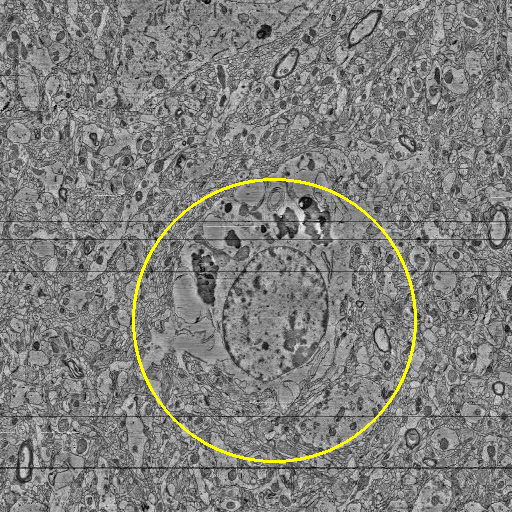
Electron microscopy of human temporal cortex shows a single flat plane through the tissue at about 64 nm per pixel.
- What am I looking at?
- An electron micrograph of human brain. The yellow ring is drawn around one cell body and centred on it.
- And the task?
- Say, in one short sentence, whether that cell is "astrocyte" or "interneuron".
The cell in the middle of the ring is an astrocyte.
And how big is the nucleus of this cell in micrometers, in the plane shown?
In this plane, about 9 micrometres in length and 7 in width.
